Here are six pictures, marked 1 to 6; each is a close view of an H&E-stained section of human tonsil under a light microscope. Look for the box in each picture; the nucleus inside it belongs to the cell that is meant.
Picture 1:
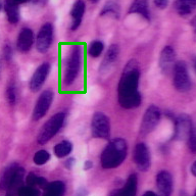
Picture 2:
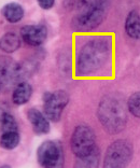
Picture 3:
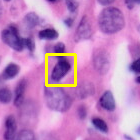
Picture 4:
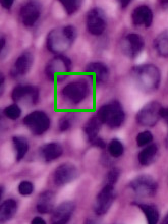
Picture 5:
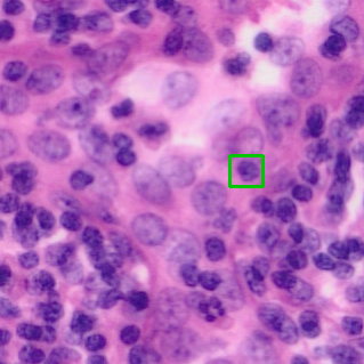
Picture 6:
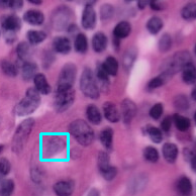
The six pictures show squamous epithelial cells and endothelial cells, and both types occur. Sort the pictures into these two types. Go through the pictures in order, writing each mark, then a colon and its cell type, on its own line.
1: squamous epithelial cell
2: endothelial cell
3: endothelial cell
4: squamous epithelial cell
5: endothelial cell
6: endothelial cell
